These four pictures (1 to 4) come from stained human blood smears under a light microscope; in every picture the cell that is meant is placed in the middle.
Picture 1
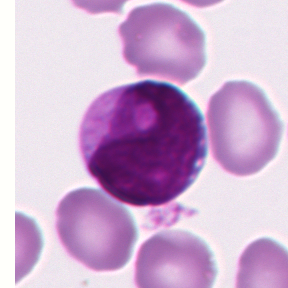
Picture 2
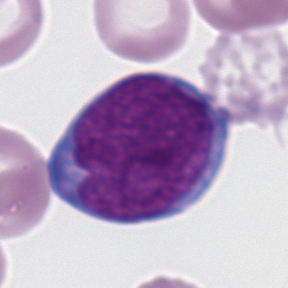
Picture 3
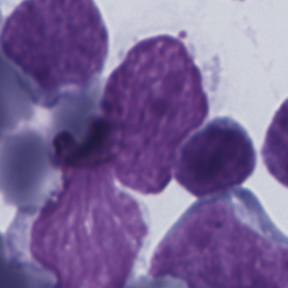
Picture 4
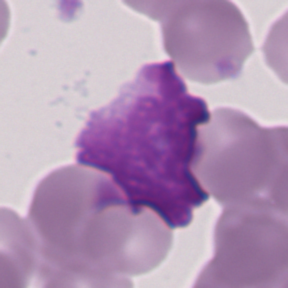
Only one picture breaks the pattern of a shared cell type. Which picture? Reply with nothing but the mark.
4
